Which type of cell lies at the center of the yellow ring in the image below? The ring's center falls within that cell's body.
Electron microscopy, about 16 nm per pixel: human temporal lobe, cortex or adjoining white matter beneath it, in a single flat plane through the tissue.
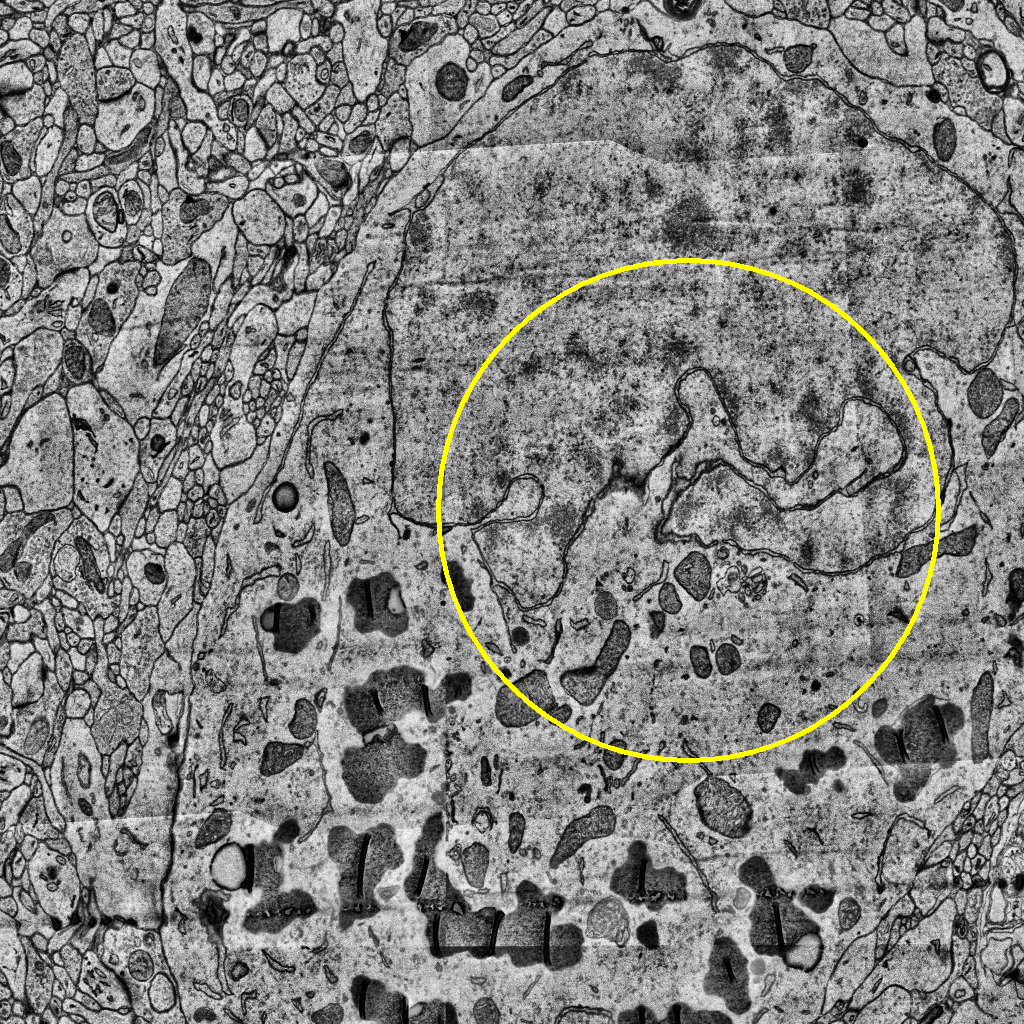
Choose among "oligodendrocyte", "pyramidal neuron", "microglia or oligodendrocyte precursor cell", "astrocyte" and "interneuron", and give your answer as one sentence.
The cell body at the center belongs to an interneuron.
